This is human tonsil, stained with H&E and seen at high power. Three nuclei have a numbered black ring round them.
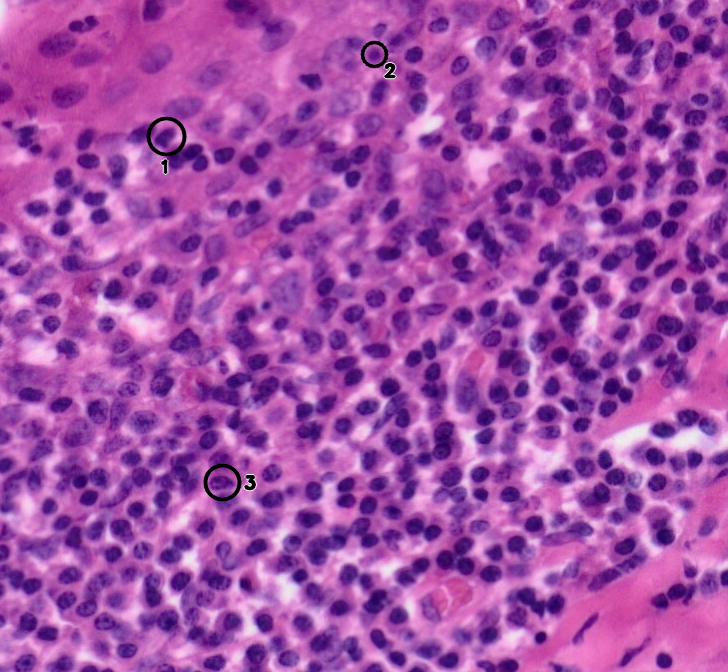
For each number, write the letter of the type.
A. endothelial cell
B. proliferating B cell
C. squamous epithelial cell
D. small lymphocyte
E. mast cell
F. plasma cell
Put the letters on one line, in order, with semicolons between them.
C; C; F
